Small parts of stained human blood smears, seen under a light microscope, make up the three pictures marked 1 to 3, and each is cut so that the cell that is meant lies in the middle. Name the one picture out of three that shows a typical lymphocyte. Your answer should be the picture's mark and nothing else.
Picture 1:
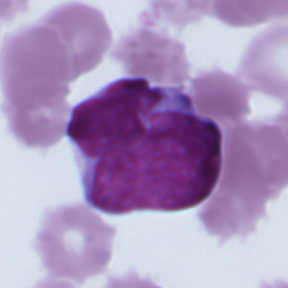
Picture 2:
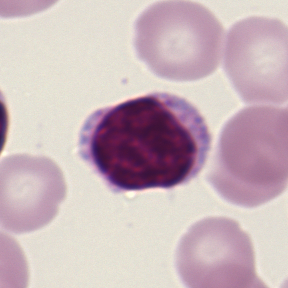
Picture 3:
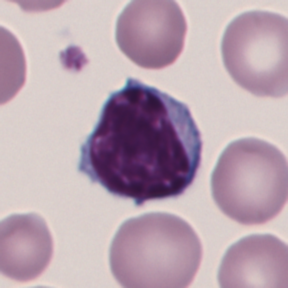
3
